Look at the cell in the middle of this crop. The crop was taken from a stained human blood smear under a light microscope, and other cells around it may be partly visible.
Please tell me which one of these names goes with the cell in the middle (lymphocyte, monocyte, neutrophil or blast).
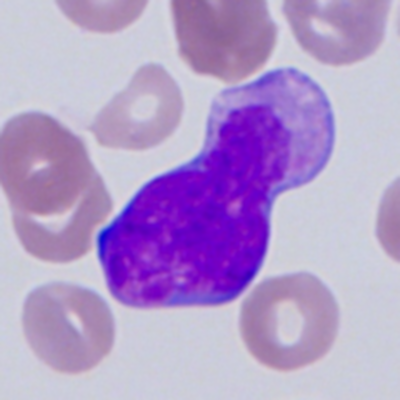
blast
